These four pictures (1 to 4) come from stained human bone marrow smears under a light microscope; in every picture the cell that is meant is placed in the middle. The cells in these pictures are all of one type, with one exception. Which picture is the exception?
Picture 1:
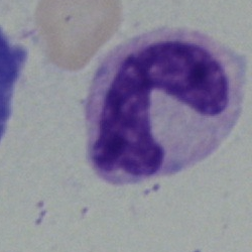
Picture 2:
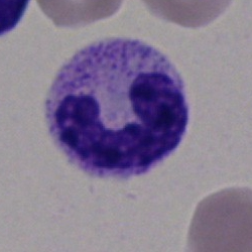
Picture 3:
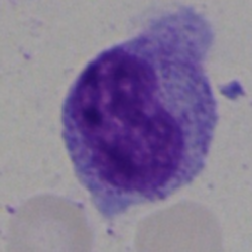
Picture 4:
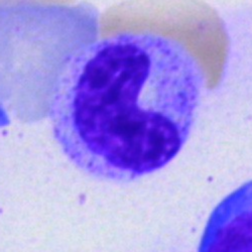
3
